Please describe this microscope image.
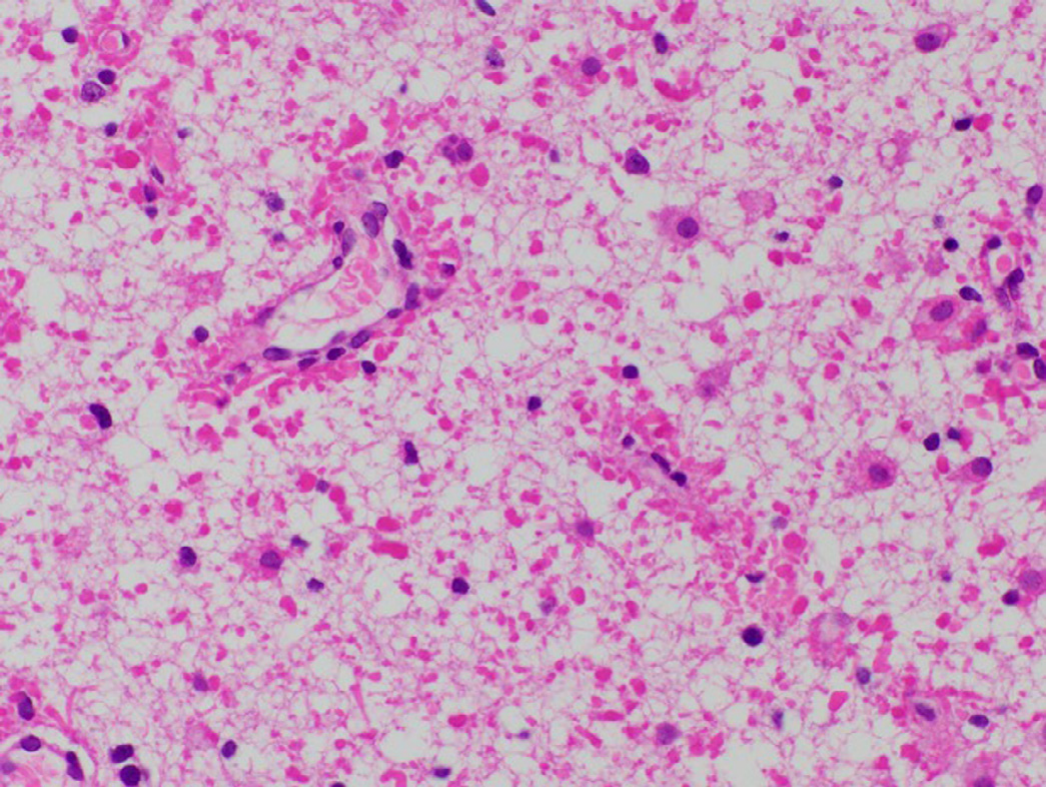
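This is brain white matter in which many dense, bright pink, oval to sausage-shaped bodies lie scattered through a pale, vacuolated background. The neuropil is loose and full of small clear spaces, so the tissue looks rarefied rather than compact. At the upper left a thin-walled blood vessel with flattened dark nuclei in its wall is surrounded by a cuff of these pink bodies. A similar band of them follows a smaller vessel in the centre. Scattered among them are cells with round nuclei and some plump cells with pink cytoplasm. The glassy pink bodies are Rosenthal fibers, gathered especially around the vessels, in white matter that is poorly myelinated.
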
